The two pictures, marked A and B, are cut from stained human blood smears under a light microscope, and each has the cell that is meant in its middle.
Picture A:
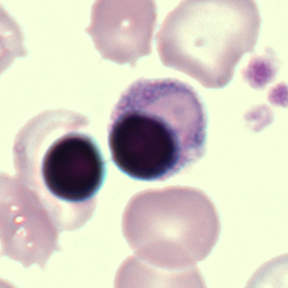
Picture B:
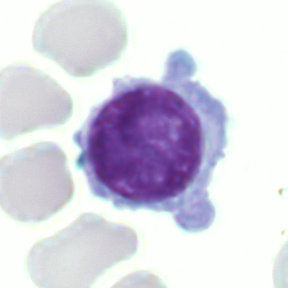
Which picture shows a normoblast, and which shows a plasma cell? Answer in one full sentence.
Picture A shows a normoblast and picture B shows a plasma cell.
